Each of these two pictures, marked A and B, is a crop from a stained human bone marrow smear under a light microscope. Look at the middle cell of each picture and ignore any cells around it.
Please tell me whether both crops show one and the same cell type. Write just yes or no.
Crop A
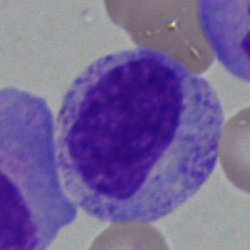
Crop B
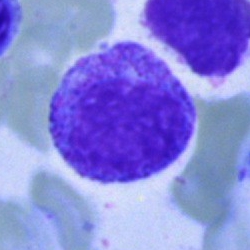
yes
